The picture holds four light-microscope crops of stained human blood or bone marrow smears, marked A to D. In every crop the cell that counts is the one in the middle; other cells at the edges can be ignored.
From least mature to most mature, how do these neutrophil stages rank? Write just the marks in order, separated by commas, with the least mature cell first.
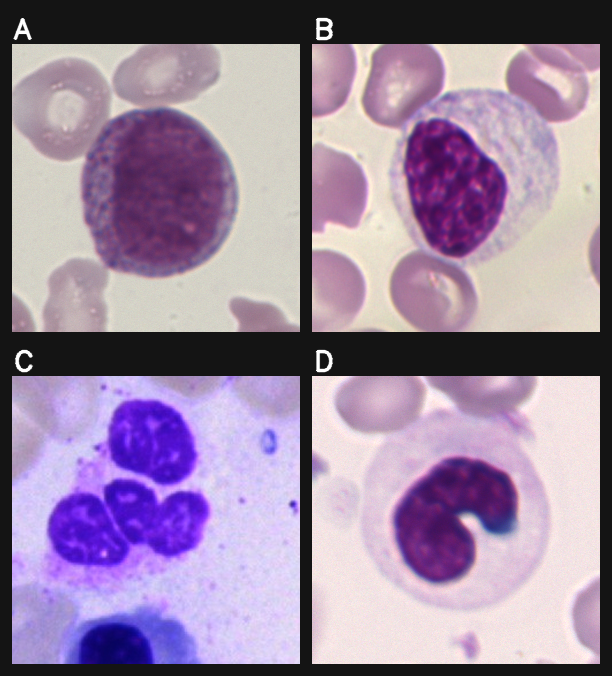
A, B, D, C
